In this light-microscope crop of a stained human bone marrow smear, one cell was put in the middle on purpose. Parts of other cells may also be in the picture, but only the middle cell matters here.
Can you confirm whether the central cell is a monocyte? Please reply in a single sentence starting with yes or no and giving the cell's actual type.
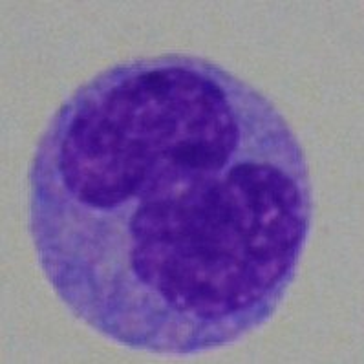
Yes, the cell sitting in the center is a monocyte.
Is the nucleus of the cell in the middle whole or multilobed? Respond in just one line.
Two or more lobes make up the nucleus of this cell.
